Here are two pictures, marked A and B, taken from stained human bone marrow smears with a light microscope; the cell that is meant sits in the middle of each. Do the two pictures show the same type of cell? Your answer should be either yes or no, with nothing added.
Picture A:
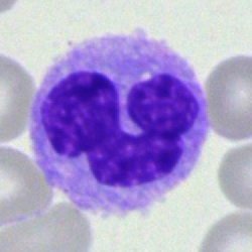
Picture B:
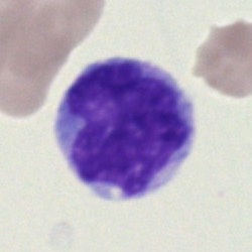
yes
